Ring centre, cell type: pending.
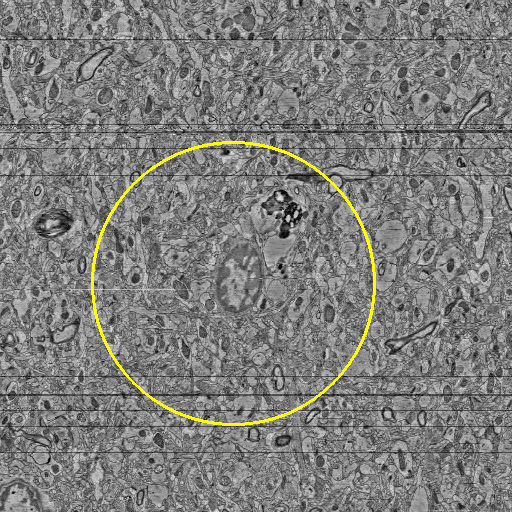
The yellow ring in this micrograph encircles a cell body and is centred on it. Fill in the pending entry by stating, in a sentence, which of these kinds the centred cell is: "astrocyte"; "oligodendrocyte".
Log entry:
The centred cell is recorded as an oligodendrocyte.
